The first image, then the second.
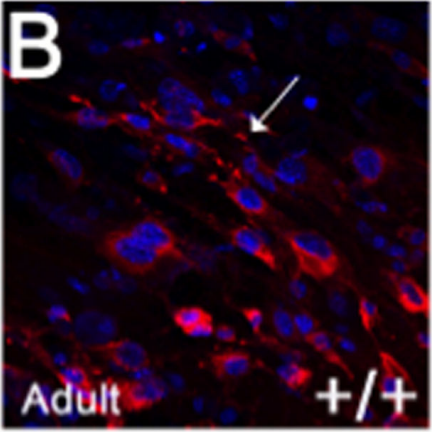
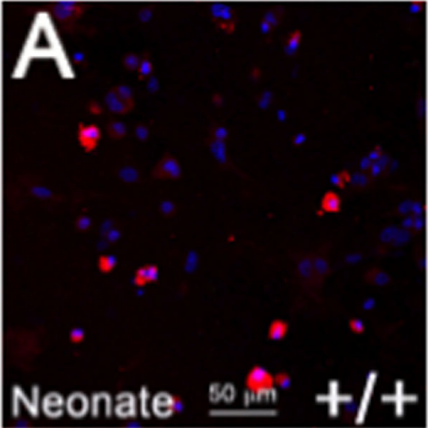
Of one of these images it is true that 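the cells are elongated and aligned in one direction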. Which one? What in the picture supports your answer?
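First image: spindle-shaped red-stained cells stretch diagonally in a common direction. Second image: red-stained cells are small, rounded and scattered without a common orientation.
The first image.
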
